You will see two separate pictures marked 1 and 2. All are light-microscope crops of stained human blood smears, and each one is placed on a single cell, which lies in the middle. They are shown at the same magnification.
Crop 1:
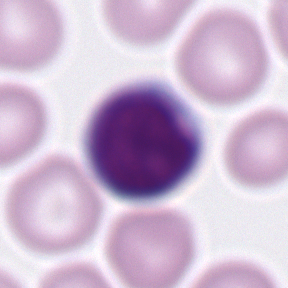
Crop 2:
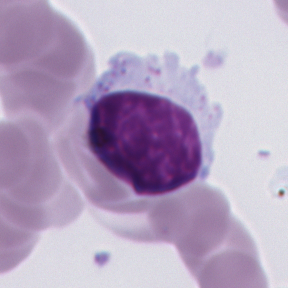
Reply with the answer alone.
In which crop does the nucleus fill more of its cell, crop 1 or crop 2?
1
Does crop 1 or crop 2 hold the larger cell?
2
